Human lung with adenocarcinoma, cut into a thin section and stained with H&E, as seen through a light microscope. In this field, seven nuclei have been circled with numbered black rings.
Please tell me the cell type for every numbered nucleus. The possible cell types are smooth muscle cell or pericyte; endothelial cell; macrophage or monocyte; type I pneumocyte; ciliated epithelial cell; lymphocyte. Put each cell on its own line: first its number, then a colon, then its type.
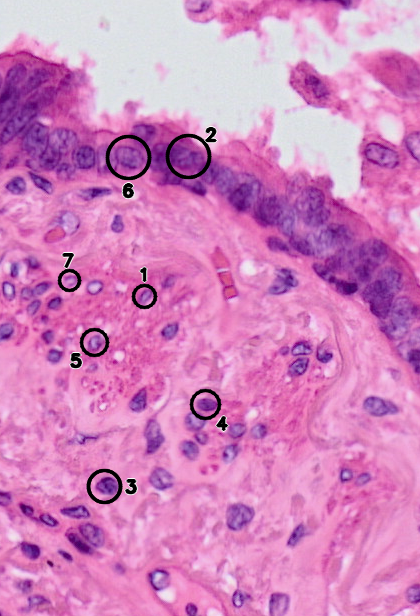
1: smooth muscle cell or pericyte
2: ciliated epithelial cell
3: lymphocyte
4: smooth muscle cell or pericyte
5: smooth muscle cell or pericyte
6: ciliated epithelial cell
7: smooth muscle cell or pericyte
